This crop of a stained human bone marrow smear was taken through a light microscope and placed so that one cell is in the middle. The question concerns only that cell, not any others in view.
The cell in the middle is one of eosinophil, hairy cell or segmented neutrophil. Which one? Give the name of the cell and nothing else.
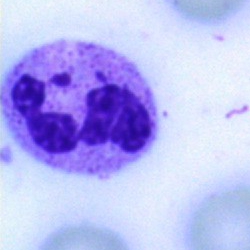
segmented neutrophil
